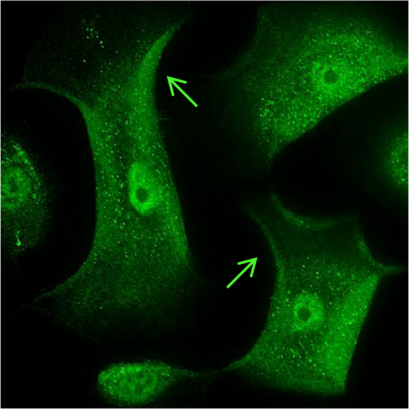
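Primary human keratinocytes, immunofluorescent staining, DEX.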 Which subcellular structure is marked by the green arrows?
Plasma membrane.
